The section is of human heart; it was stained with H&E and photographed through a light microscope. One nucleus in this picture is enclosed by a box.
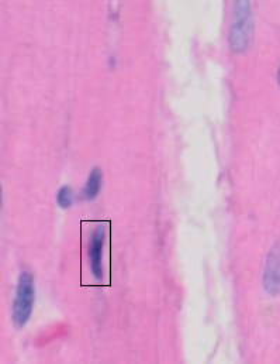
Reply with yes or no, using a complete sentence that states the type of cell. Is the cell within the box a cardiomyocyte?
No, mark the cell within the box as an endothelial cell, not as a cardiomyocyte.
